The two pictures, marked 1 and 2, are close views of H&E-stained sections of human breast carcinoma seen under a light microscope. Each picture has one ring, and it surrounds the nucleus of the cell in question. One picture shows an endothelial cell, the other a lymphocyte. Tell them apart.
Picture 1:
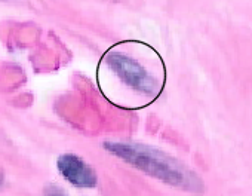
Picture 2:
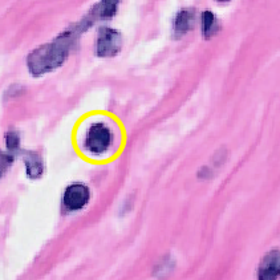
1: endothelial cell
2: lymphocyte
